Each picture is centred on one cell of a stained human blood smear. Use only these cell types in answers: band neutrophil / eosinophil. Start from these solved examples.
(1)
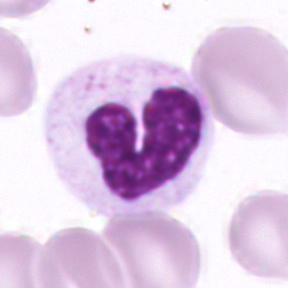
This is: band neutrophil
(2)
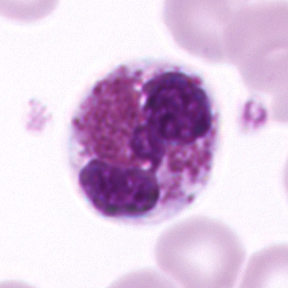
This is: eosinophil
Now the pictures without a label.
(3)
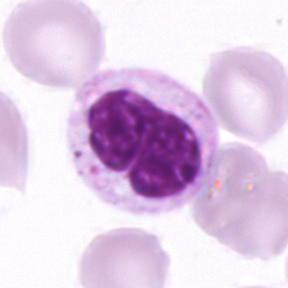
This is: band neutrophil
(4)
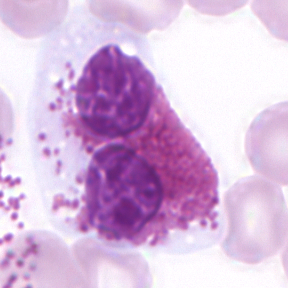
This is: eosinophil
